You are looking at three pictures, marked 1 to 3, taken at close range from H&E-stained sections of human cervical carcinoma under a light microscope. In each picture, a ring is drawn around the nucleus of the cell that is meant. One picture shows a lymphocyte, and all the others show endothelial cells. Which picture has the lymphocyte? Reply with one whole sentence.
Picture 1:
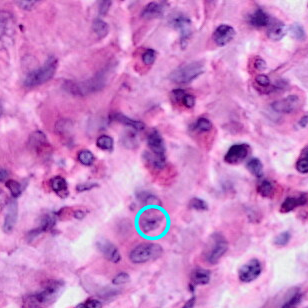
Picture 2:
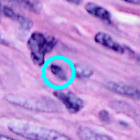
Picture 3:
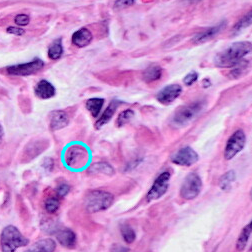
Picture 2 is the one that shows the lymphocyte.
